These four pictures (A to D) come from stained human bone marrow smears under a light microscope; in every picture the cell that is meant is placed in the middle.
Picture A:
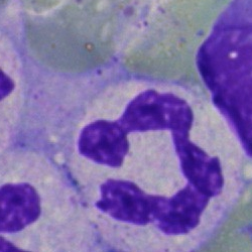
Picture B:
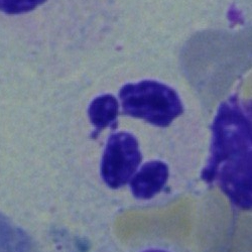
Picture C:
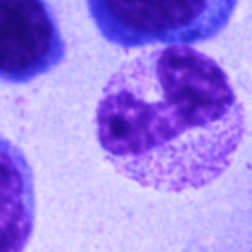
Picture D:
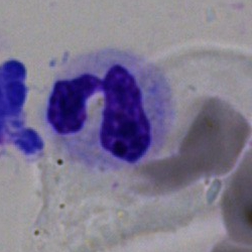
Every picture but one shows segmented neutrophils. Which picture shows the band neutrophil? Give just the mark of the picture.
C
